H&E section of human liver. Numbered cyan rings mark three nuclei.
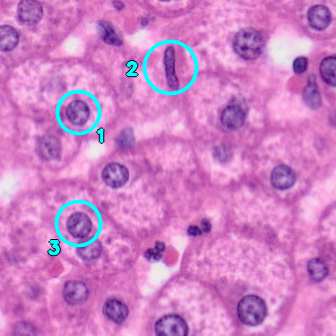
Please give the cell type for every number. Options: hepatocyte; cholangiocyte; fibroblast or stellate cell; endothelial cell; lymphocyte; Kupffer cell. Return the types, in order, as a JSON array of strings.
["hepatocyte", "Kupffer cell", "hepatocyte"]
